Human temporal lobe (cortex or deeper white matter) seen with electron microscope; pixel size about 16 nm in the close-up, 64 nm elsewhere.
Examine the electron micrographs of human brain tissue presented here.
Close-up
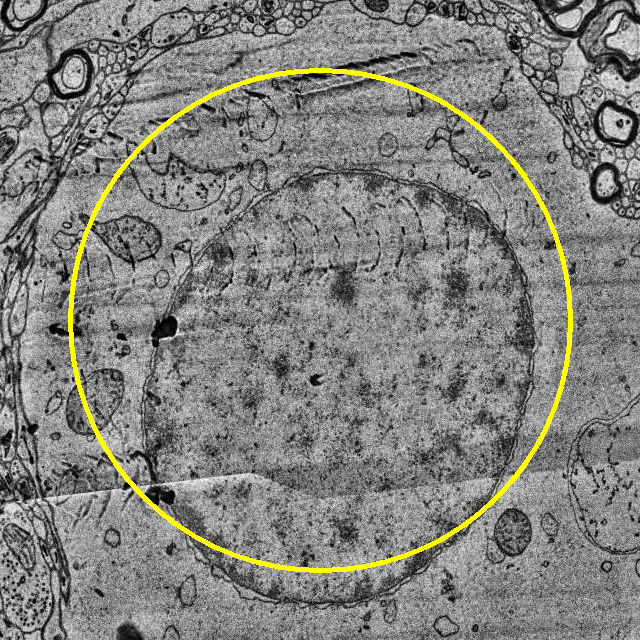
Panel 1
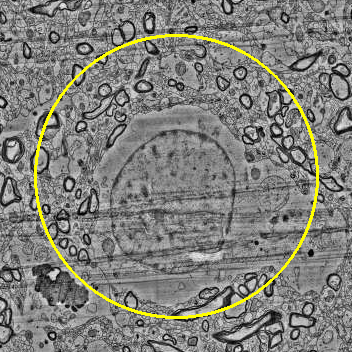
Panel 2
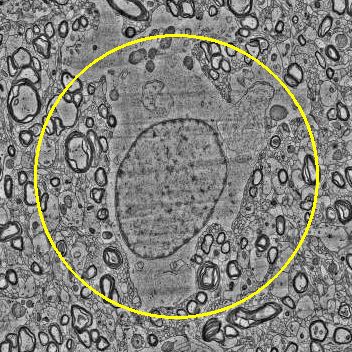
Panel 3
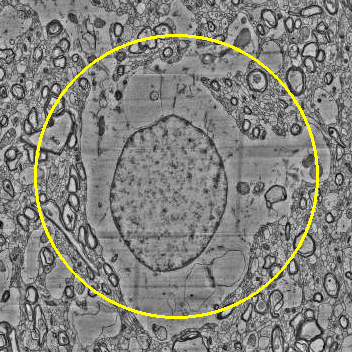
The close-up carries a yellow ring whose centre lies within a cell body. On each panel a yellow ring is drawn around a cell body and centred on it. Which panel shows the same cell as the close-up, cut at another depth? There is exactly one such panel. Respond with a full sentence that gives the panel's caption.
Of all the ringed cells, the close-up shows the one in Panel 1.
